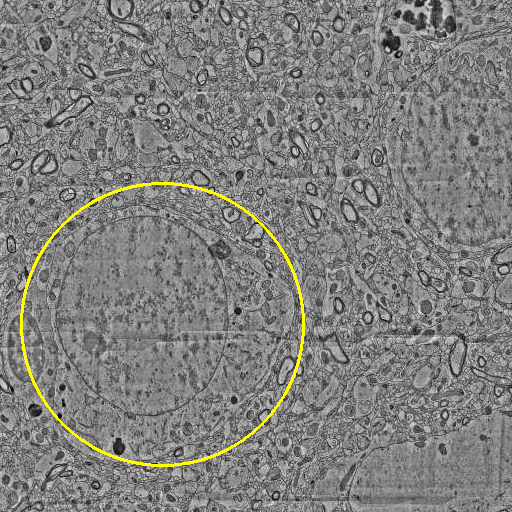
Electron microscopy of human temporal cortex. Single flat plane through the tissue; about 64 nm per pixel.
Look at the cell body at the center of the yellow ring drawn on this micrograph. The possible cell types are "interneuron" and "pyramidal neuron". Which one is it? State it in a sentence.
The cell in the middle of the ring is a pyramidal neuron.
